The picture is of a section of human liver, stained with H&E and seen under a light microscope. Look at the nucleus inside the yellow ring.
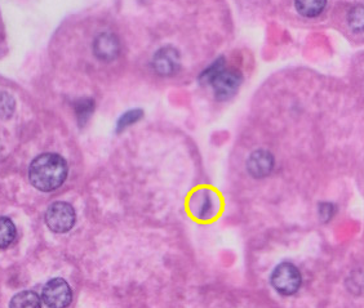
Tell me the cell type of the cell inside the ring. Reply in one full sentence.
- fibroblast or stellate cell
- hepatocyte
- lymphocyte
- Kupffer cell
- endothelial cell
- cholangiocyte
Within this tissue, the cell inside the ring is a Kupffer cell.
